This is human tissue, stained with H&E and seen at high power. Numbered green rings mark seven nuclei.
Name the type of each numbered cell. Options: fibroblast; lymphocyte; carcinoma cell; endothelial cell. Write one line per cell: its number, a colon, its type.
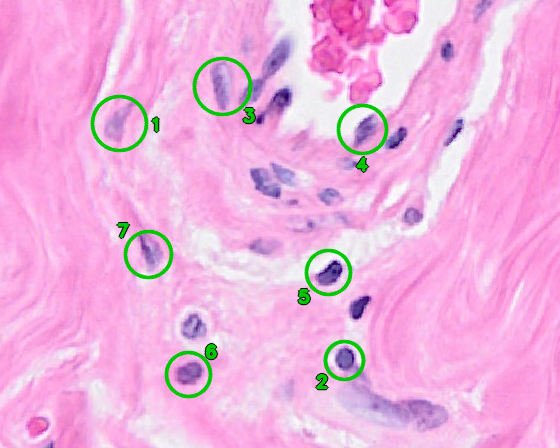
1: fibroblast
2: lymphocyte
3: endothelial cell
4: endothelial cell
5: lymphocyte
6: lymphocyte
7: fibroblast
